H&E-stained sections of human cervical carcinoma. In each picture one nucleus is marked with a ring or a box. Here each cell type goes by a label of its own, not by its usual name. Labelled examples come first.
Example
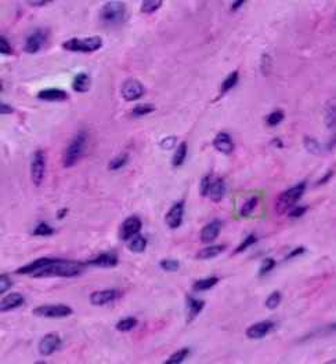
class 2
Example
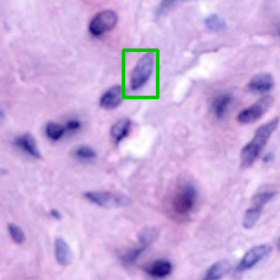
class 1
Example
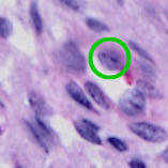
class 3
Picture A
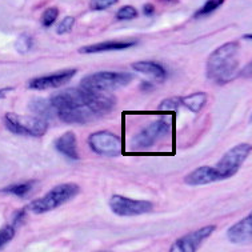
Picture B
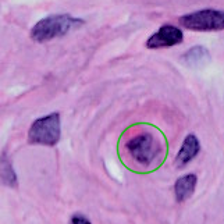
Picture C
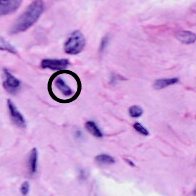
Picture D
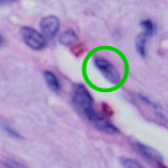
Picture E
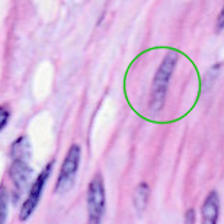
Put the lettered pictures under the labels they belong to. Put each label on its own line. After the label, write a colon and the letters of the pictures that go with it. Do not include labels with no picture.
class 2: E
class 1: C
class 3: A, B, D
